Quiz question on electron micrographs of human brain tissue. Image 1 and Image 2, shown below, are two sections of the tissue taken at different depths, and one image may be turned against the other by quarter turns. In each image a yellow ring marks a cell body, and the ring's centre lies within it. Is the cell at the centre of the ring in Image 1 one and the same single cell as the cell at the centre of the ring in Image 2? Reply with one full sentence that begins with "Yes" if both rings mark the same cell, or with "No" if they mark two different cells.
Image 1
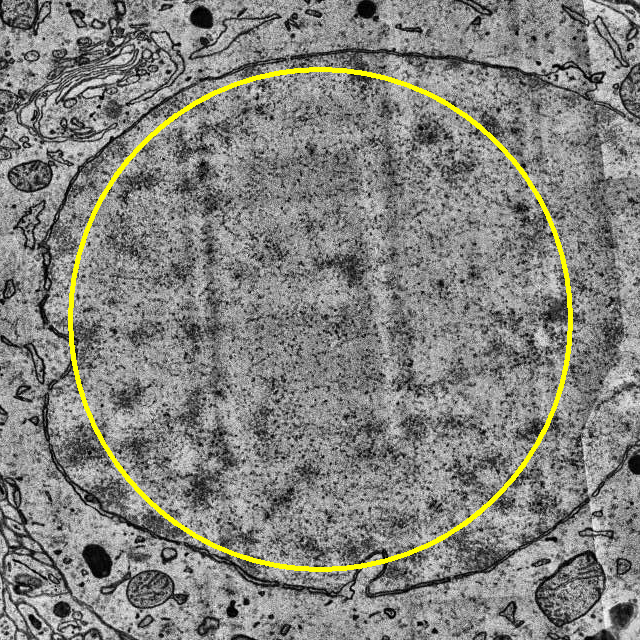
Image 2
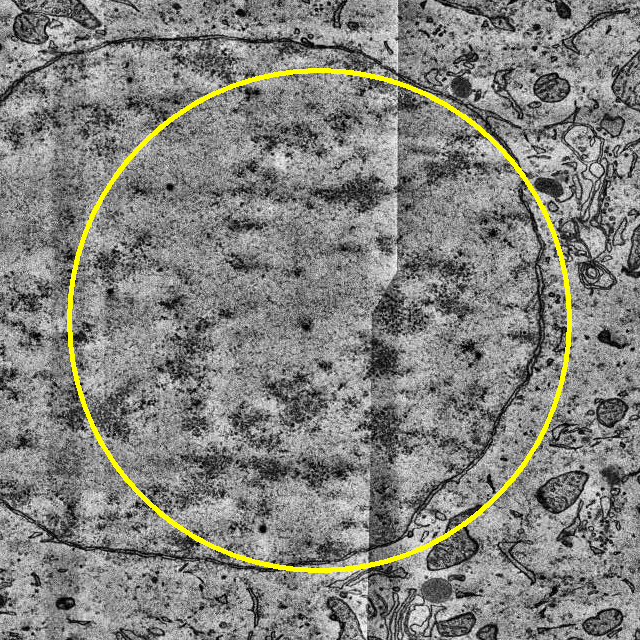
No, the circled cells number two, not one.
